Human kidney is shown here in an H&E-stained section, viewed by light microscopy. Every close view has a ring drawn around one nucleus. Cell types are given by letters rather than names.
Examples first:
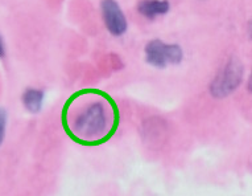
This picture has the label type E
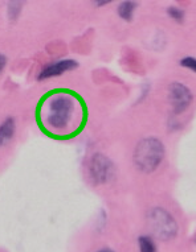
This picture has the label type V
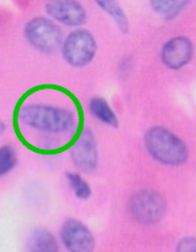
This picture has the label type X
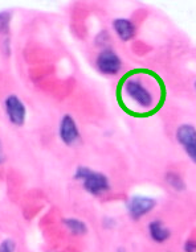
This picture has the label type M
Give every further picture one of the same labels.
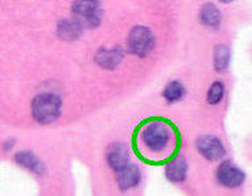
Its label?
type X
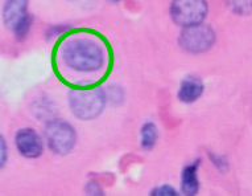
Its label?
type X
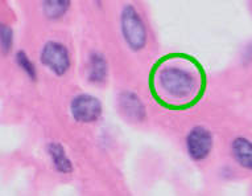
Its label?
type V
